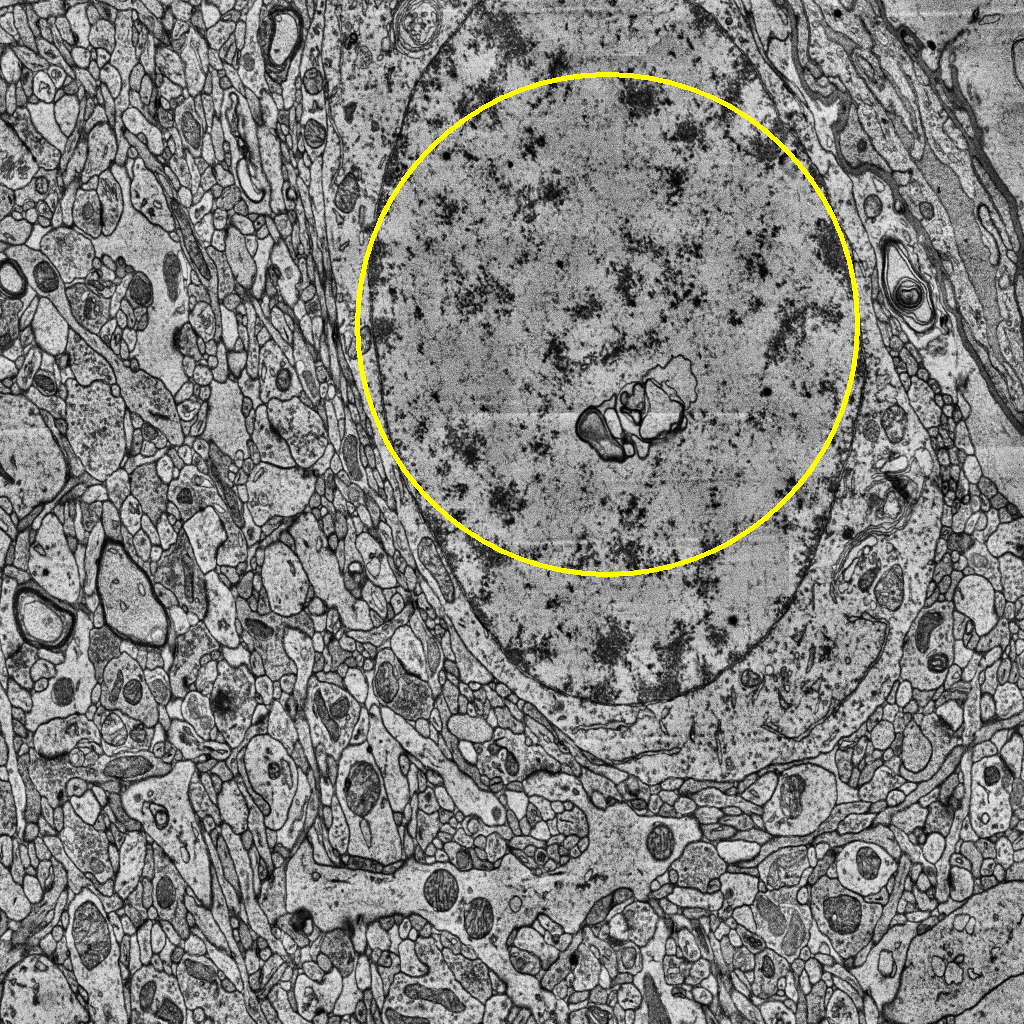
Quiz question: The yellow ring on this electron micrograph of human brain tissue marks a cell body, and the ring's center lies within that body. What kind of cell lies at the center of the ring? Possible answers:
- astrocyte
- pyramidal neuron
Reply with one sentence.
The ring's center lies on a pyramidal neuron.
